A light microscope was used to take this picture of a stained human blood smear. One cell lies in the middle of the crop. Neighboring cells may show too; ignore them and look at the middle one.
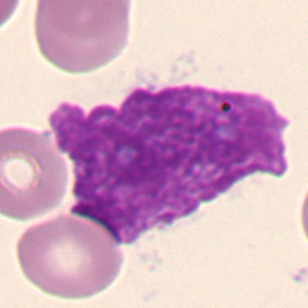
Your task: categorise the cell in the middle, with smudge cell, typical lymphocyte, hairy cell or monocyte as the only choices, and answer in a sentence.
Standing at the centre of this crop is a smudge cell.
